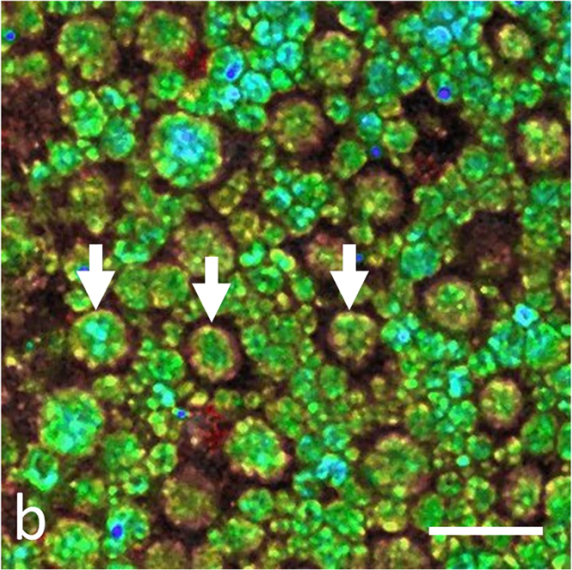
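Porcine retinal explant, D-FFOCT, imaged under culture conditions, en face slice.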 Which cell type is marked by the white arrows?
Cones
